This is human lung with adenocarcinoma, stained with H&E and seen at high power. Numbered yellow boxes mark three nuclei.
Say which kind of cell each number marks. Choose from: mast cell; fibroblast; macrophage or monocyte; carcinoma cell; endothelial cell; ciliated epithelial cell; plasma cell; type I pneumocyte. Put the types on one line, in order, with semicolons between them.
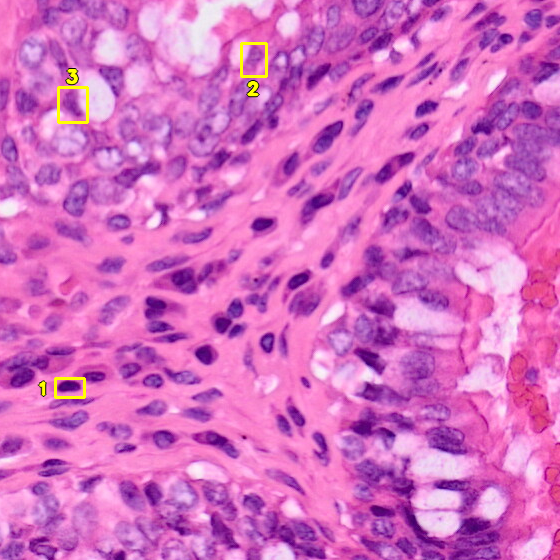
plasma cell; ciliated epithelial cell; ciliated epithelial cell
